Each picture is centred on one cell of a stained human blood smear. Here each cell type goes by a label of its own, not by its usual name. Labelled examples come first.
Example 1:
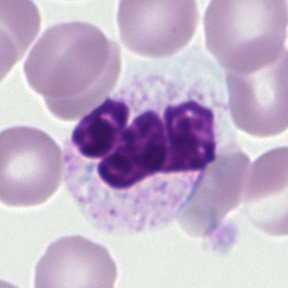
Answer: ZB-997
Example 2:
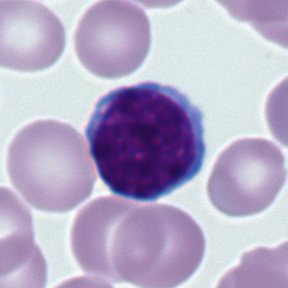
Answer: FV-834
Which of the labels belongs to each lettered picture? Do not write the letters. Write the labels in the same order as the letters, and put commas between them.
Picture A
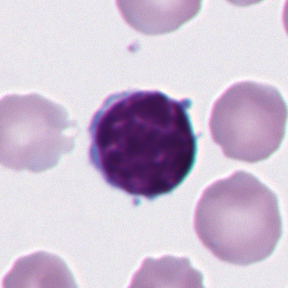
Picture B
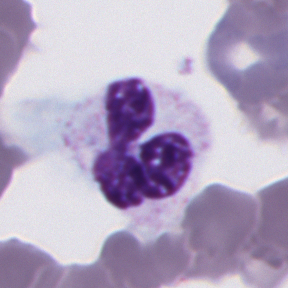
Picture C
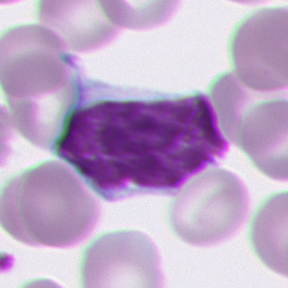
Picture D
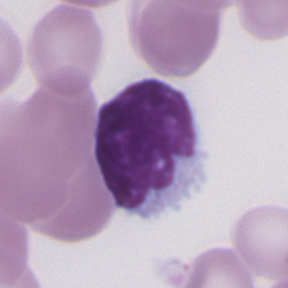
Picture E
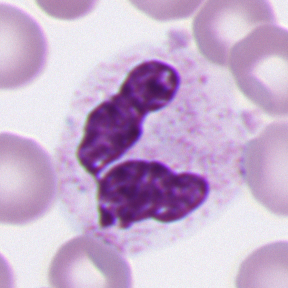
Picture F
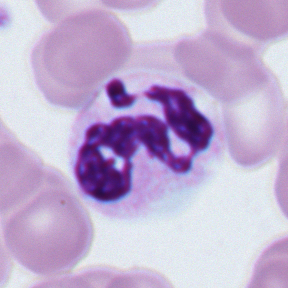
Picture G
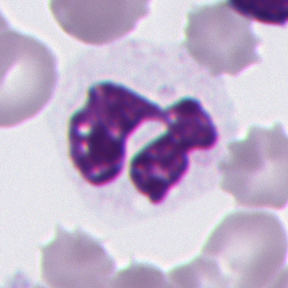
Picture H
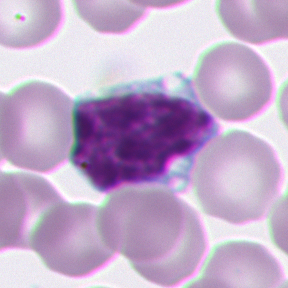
FV-834, ZB-997, FV-834, FV-834, ZB-997, ZB-997, ZB-997, FV-834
